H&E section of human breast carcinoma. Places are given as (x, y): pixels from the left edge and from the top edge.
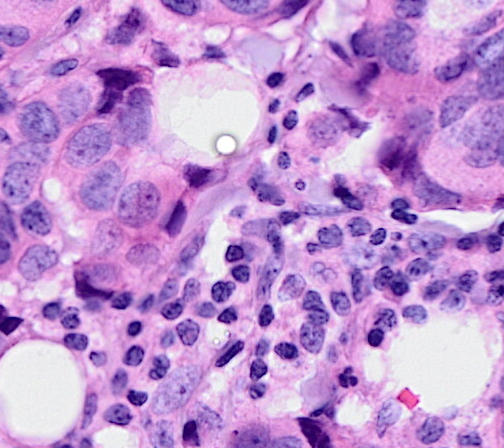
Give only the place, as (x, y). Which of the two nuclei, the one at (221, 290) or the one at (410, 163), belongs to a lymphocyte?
(221, 290)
